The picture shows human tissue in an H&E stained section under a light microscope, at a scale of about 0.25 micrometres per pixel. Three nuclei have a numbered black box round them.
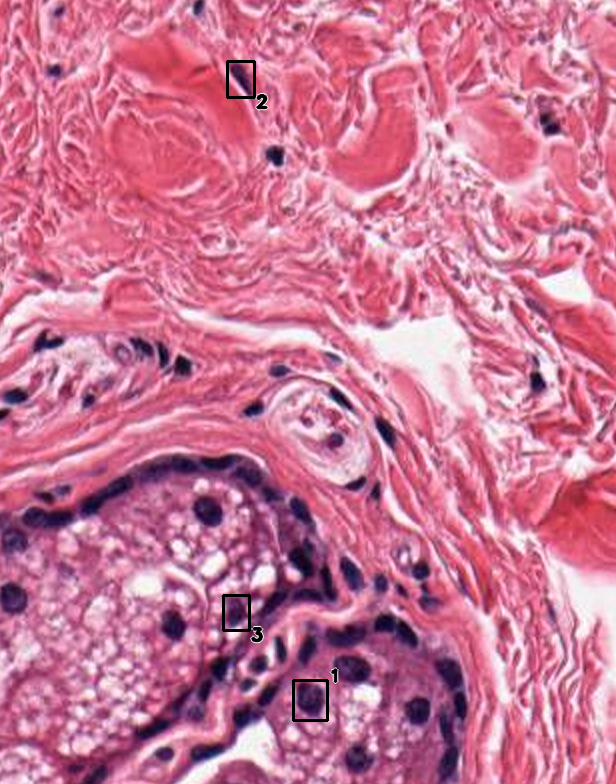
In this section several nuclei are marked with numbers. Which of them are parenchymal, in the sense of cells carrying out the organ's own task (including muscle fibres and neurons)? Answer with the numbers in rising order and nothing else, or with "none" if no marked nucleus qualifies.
1, 3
